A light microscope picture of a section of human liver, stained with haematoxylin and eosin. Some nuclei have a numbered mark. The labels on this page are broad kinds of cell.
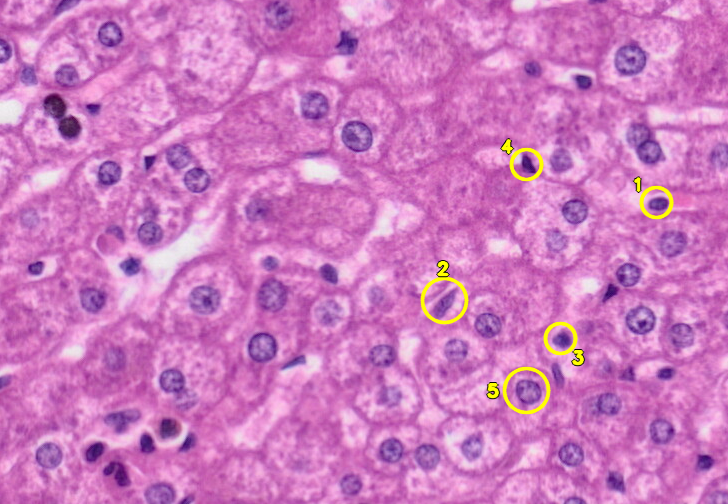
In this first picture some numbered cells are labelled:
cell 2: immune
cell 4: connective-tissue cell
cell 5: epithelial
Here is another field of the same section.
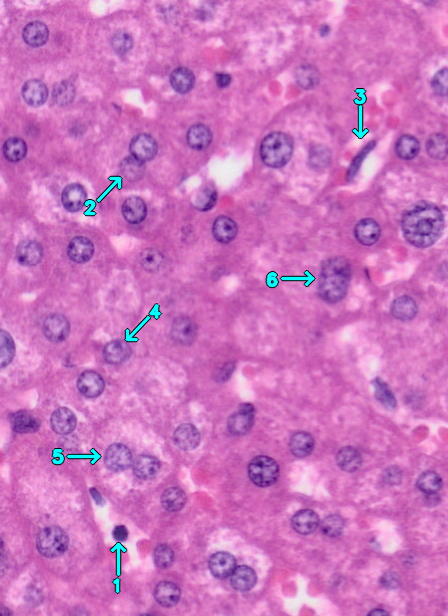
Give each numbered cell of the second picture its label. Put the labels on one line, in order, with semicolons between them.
immune; epithelial; immune; epithelial; epithelial; epithelial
